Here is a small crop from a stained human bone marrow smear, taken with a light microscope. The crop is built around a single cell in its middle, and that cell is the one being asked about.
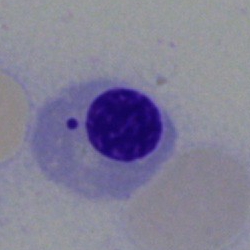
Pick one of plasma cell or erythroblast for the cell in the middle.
erythroblast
